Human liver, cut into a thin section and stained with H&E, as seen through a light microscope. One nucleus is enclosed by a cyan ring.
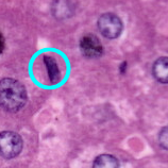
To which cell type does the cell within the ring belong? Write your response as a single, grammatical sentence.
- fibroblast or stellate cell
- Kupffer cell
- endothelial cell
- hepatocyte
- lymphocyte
In the tissue under study, the cell within the ring is a fibroblast or stellate cell.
